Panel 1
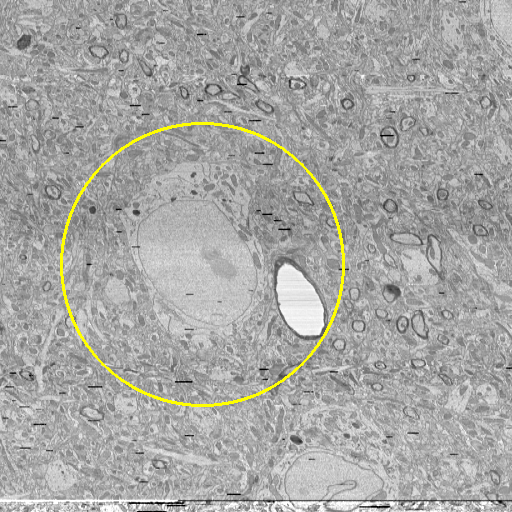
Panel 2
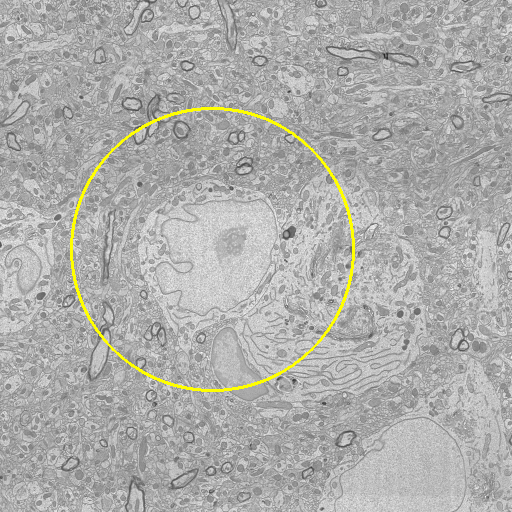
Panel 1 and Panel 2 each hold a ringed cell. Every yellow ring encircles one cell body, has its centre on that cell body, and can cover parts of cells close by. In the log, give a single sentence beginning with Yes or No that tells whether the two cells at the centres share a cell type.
No, in Panel 1 and Panel 2 the centred cells are of two cell types.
